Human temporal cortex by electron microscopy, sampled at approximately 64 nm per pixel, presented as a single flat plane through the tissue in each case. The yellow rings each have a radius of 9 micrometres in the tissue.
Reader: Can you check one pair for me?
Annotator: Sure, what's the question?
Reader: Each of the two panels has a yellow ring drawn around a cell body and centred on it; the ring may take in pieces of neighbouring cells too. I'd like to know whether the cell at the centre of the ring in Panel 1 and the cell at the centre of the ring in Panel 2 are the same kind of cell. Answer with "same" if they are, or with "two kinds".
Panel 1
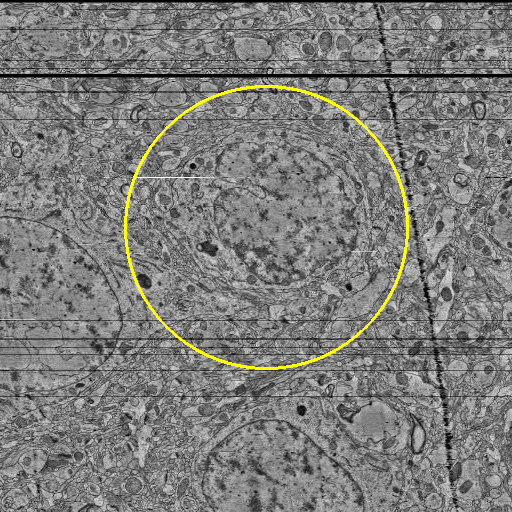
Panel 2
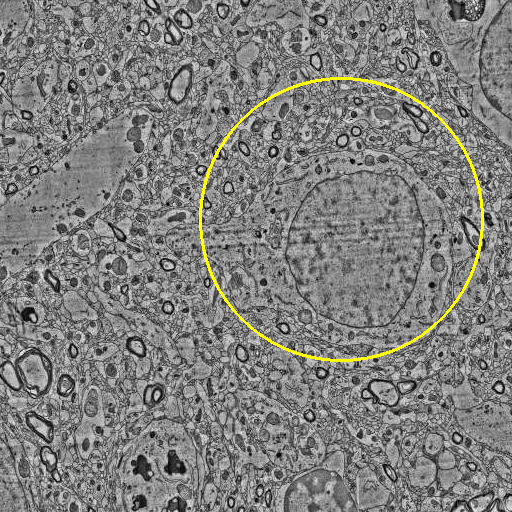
two kinds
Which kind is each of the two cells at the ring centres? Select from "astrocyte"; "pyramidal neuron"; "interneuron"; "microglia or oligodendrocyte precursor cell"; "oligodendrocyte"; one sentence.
The cell at the centre of the ring is an interneuron in the first picture and a pyramidal neuron in the second.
